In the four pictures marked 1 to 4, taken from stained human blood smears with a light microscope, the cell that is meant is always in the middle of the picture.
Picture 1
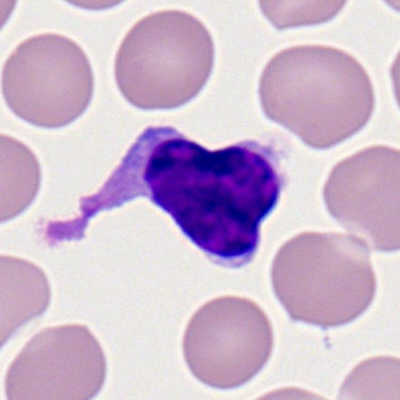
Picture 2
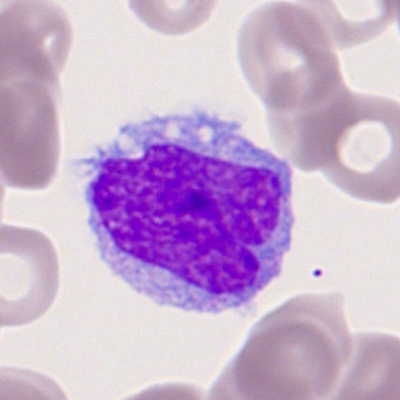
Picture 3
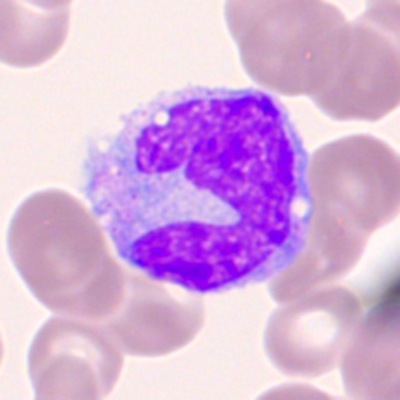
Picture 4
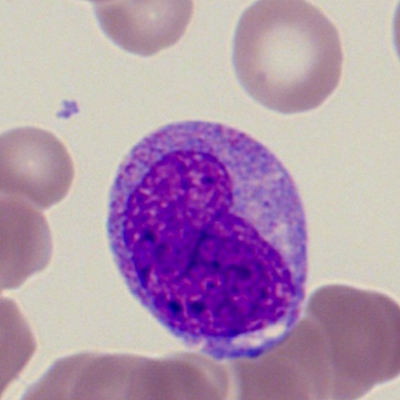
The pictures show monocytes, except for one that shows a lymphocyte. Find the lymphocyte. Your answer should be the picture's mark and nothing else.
1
